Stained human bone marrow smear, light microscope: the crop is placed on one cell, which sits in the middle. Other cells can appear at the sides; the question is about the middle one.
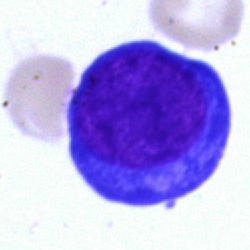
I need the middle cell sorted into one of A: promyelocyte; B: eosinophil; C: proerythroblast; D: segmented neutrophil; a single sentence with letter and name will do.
The cell at the centre, correctly named in option C, is a proerythroblast.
